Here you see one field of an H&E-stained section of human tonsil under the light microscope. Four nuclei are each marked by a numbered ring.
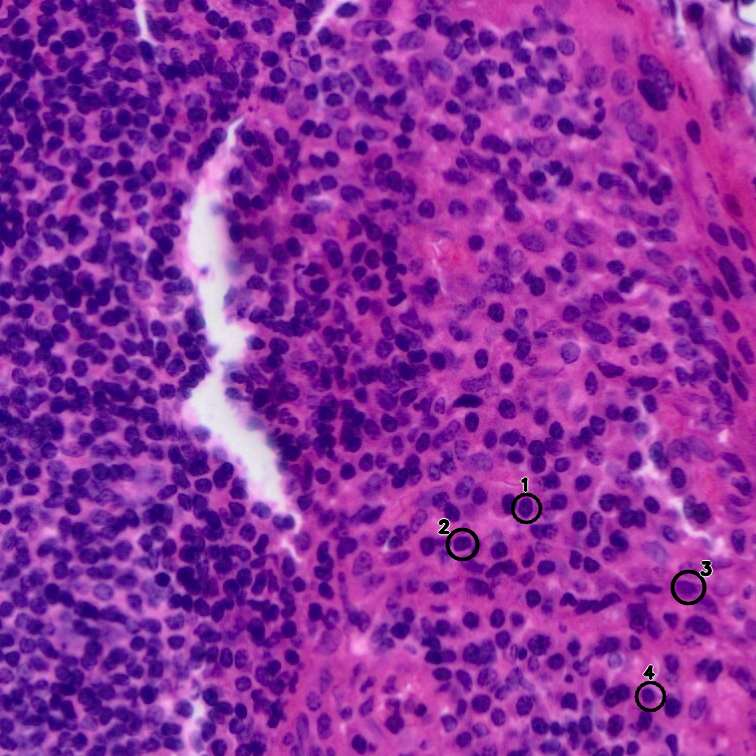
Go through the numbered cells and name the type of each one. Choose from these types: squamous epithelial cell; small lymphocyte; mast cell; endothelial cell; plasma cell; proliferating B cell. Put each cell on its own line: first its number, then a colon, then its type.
1: plasma cell
2: plasma cell
3: squamous epithelial cell
4: plasma cell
